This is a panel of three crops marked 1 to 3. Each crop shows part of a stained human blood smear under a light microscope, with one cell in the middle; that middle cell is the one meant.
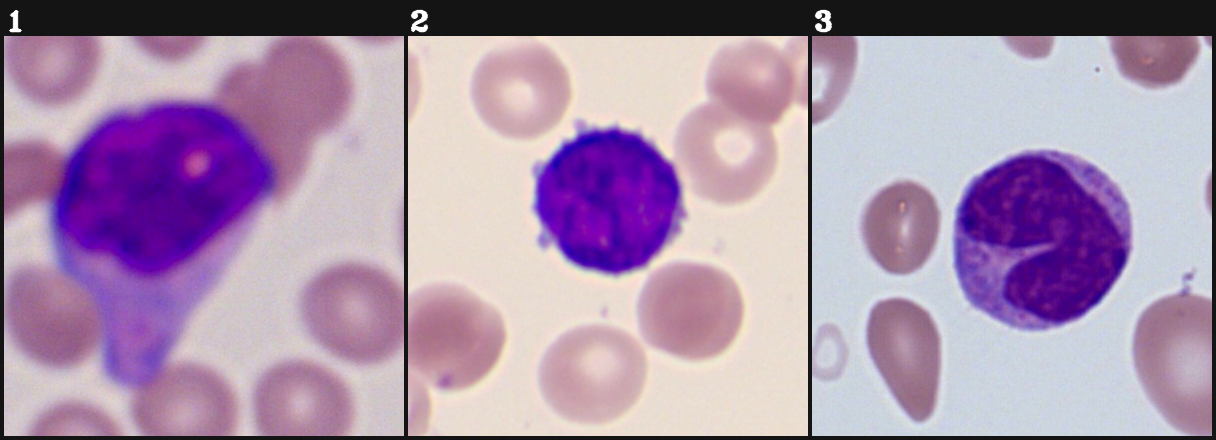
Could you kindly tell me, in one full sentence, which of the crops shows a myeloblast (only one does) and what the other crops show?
It is crop 1 that shows a myeloblast, while crop 2 is a lymphocyte and crop 3 is a monocyte.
